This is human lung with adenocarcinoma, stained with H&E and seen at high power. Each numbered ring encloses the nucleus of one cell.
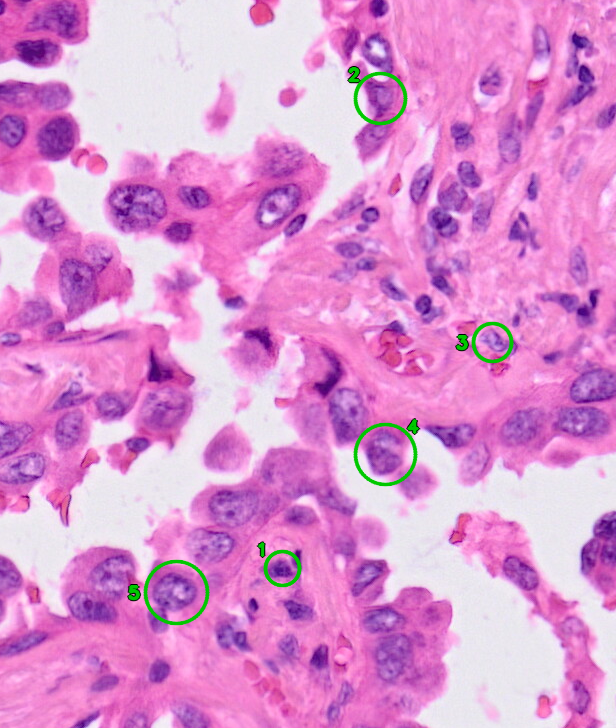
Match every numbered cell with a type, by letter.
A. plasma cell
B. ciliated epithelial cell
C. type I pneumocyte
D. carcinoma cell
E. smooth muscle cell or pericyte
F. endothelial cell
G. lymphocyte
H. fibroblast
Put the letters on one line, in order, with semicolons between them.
A; D; F; D; D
